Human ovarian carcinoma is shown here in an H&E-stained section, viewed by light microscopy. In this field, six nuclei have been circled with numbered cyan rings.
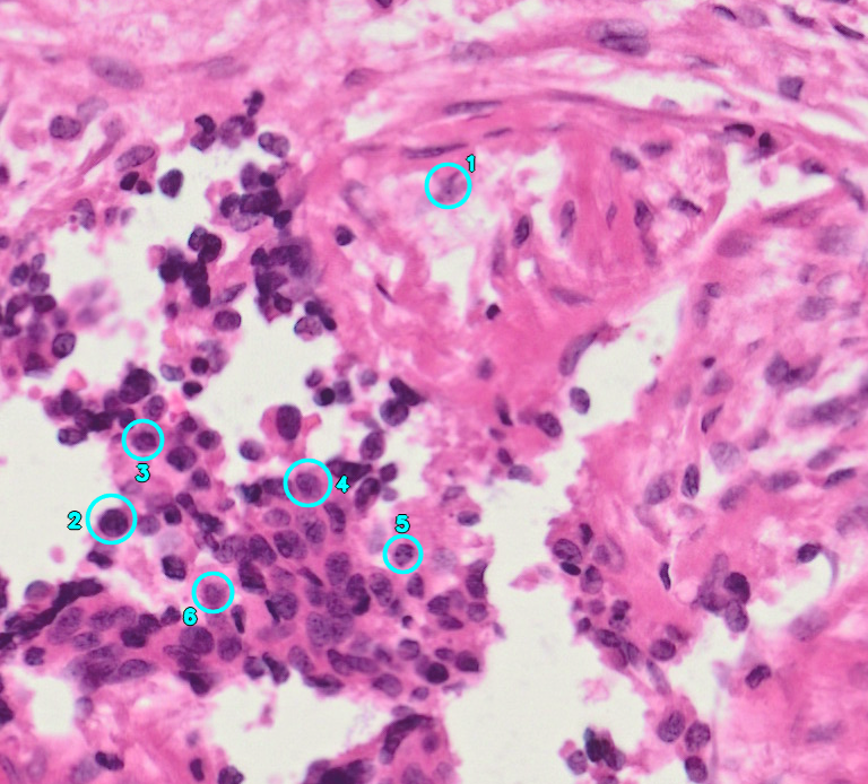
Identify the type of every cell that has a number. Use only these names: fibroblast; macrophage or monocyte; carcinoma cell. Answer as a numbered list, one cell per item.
1. fibroblast
2. carcinoma cell
3. carcinoma cell
4. carcinoma cell
5. macrophage or monocyte
6. carcinoma cell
